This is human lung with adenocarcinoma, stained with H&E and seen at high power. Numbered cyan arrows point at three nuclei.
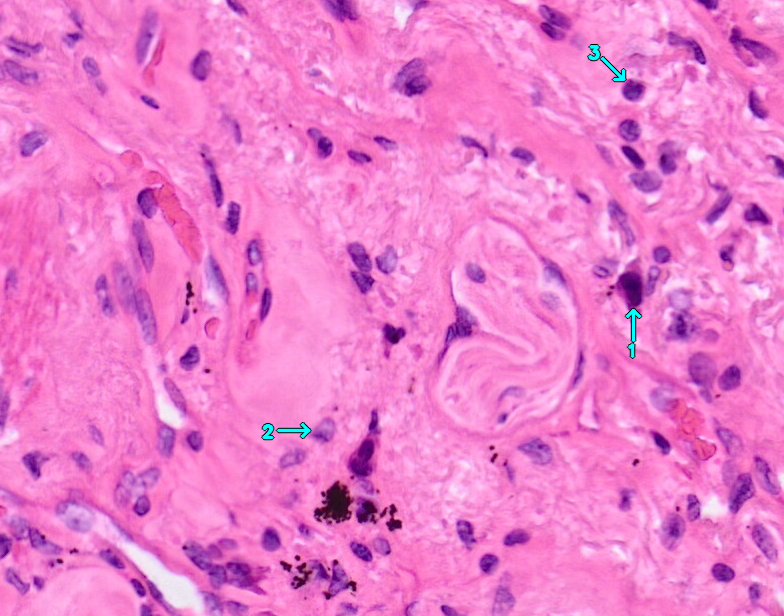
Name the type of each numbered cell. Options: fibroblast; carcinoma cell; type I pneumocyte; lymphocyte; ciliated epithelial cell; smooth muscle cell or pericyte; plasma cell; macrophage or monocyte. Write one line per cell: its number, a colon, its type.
1: plasma cell
2: fibroblast
3: lymphocyte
